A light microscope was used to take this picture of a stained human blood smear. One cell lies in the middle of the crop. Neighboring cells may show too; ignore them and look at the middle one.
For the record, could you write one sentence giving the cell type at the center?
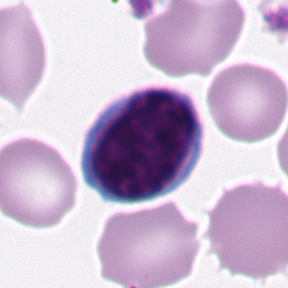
At the middle of the frame sits a lymphocyte.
